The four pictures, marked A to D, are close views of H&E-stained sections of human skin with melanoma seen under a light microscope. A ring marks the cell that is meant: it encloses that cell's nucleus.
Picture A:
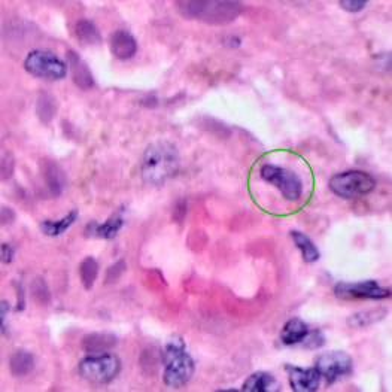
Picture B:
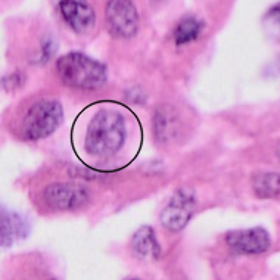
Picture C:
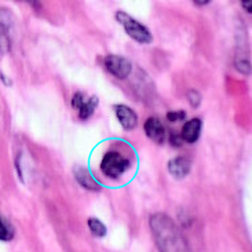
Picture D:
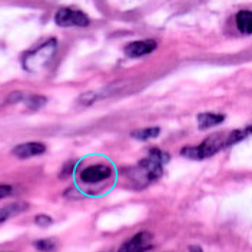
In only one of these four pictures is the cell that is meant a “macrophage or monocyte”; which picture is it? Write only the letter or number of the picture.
A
